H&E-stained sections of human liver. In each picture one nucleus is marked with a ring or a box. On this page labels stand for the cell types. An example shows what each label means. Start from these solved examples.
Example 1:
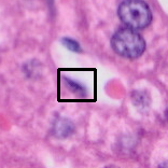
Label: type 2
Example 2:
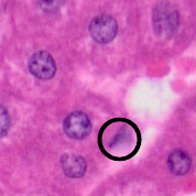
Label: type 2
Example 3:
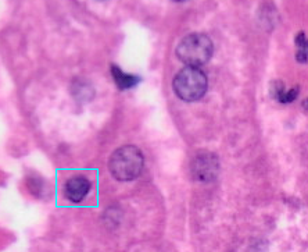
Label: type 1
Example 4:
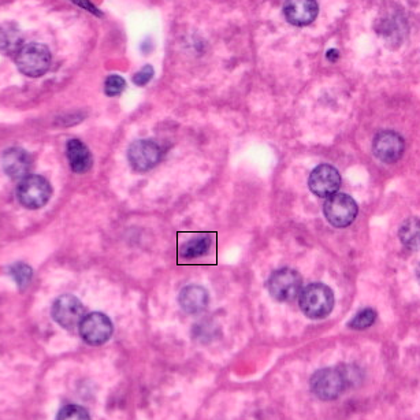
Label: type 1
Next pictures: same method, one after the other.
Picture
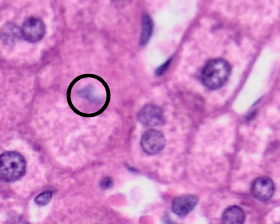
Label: type 2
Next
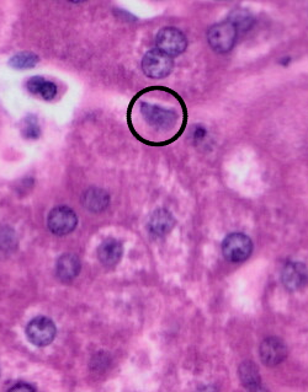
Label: type 2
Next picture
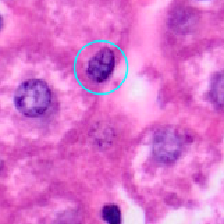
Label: type 1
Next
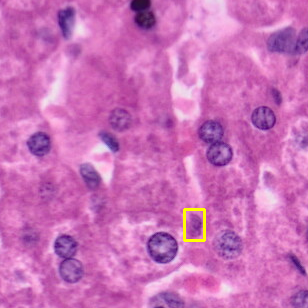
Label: type 2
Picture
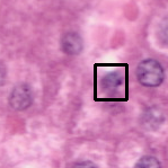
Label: type 1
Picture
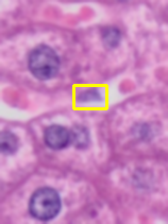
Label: type 2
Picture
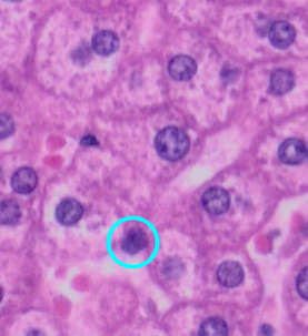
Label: type 2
